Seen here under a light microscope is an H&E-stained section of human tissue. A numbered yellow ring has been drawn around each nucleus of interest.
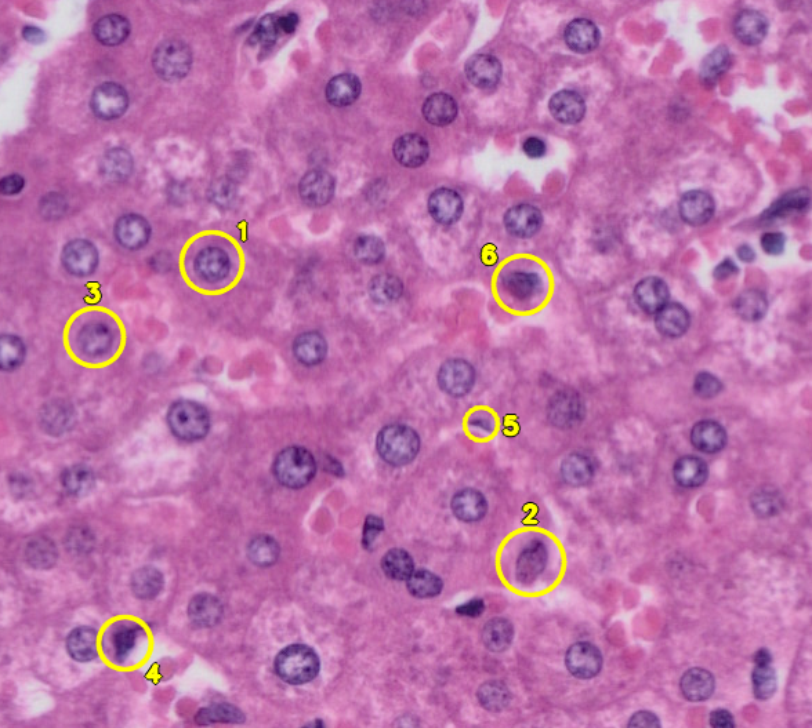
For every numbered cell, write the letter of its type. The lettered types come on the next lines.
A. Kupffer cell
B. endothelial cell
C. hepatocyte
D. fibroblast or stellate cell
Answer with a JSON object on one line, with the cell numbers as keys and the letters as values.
{"1": "C", "2": "A", "3": "C", "4": "D", "5": "B", "6": "B"}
